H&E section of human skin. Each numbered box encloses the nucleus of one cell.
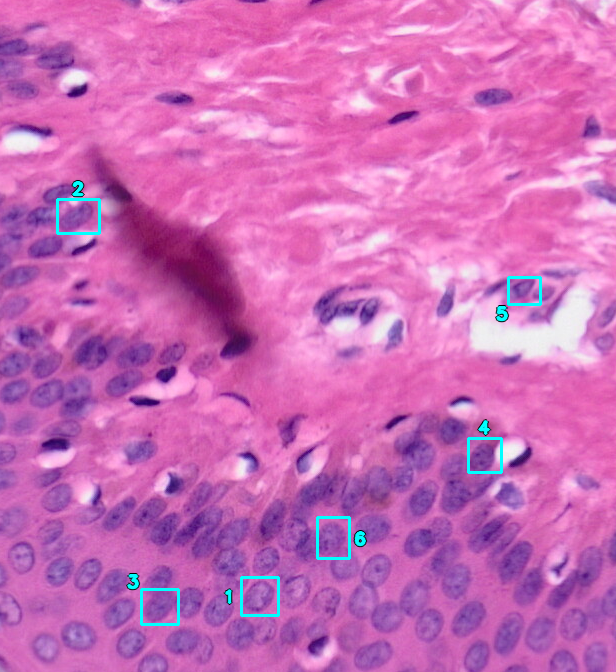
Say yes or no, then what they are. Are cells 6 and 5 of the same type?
No, cell 6 should be called a suprabasal keratinocyte, and cell 5 should be called an endothelial cell.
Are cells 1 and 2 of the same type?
No, the proper labels are a suprabasal keratinocyte for cell 1 and a basal keratinocyte for cell 2.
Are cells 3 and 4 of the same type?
No, cell 4 is a basal keratinocyte, and cell 3 is a suprabasal keratinocyte.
